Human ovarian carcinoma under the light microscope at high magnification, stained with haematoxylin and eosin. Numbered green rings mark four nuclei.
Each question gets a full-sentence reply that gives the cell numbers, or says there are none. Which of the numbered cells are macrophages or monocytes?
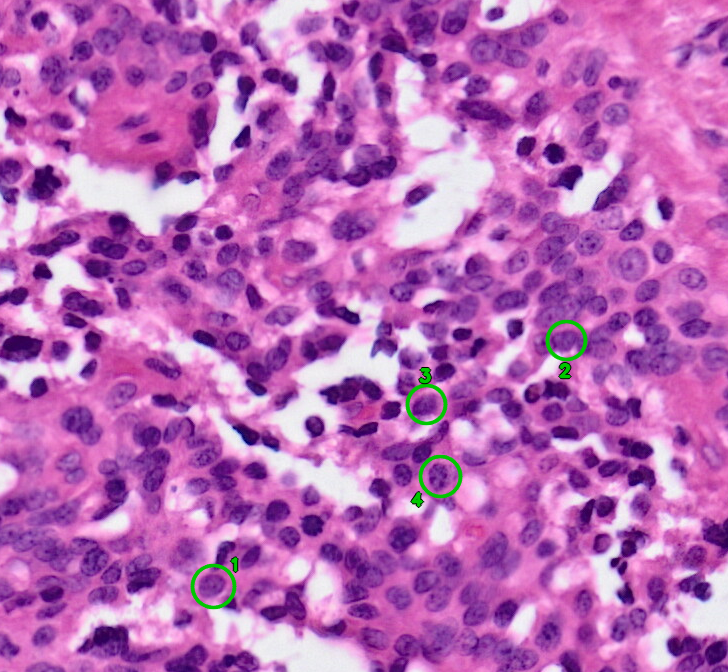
Only the cell numbered 4 is a macrophage or monocyte; none of the others is.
